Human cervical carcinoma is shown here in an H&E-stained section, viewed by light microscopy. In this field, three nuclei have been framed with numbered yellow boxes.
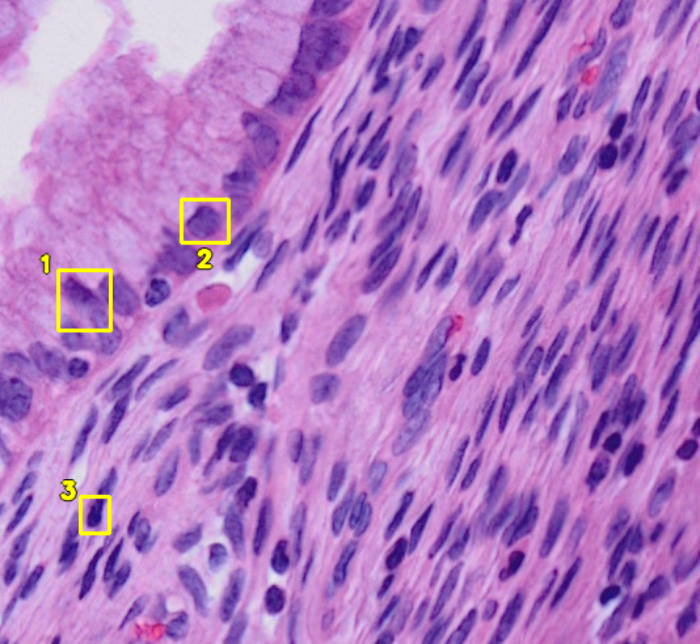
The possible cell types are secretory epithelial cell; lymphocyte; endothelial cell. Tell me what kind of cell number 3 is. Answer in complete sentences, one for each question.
The nucleus labeled 3 belongs to a lymphocyte.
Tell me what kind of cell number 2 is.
Identified as a secretory epithelial cell is the cell bearing the number 2.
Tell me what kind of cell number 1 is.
The cell indicated with the number 1 is classed as a secretory epithelial cell.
